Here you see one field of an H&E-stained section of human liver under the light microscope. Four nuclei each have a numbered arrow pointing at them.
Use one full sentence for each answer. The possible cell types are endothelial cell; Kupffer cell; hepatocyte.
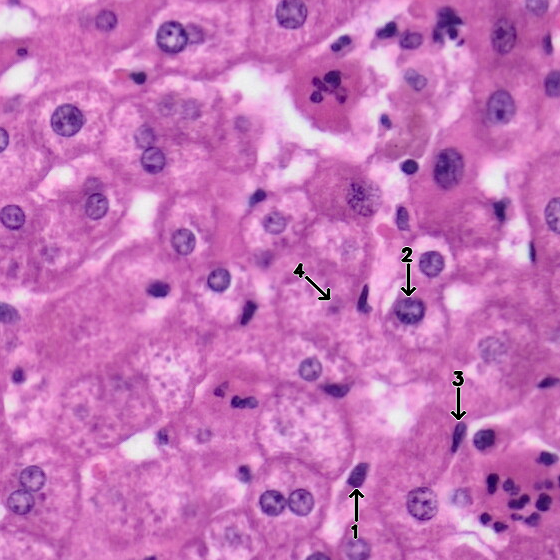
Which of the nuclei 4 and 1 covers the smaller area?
With nucleus 1 about 2 times its size, nucleus 4 is the smaller of the two.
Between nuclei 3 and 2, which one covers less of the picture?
Nucleus 3 is the smaller one; nucleus 2 covers about 3 times its area.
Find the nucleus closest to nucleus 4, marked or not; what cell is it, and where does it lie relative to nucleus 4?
Lying to the right of nucleus 4, the nearest nucleus is that of an endothelial cell.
